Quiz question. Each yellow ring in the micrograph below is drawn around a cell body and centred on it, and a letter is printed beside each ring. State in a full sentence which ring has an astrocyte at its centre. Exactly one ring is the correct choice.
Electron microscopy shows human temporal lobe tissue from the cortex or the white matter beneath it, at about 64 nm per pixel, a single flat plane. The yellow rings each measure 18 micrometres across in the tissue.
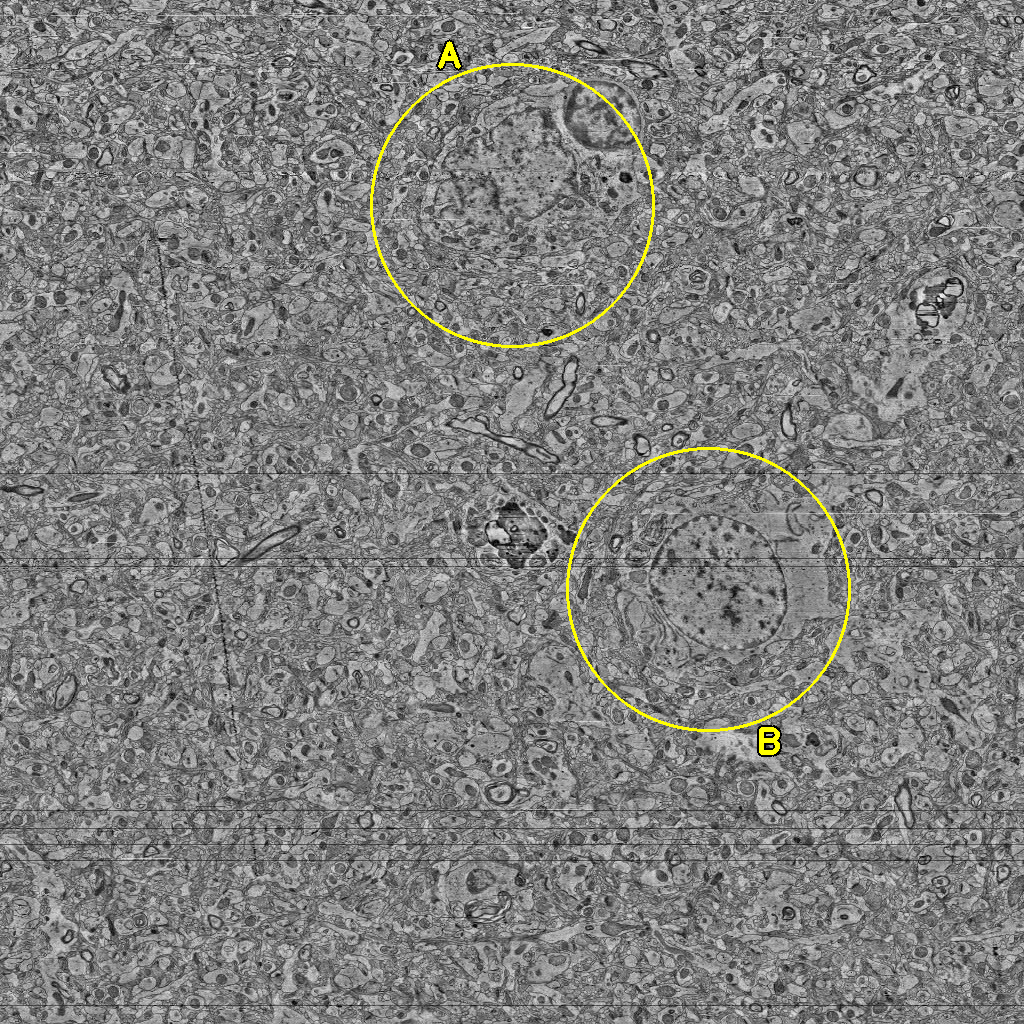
The correct ring is ring B.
